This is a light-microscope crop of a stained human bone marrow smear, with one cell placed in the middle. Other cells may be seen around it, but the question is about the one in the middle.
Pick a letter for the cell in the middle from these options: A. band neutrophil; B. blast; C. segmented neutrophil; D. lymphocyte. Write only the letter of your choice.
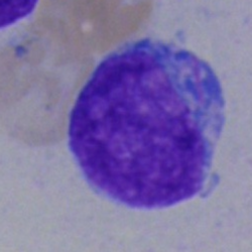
B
